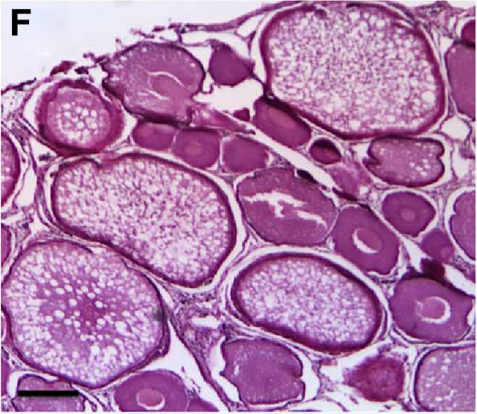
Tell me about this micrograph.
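This is ovarian tissue packed with oocytes of many sizes, separated by thin strands of pink stroma. The largest oocytes are oval and filled with a pale, foamy, vacuolated cytoplasm, bounded by a dark pink rim. Smaller oocytes have dense, evenly pink-purple cytoplasm with a pale, round central nucleus.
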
